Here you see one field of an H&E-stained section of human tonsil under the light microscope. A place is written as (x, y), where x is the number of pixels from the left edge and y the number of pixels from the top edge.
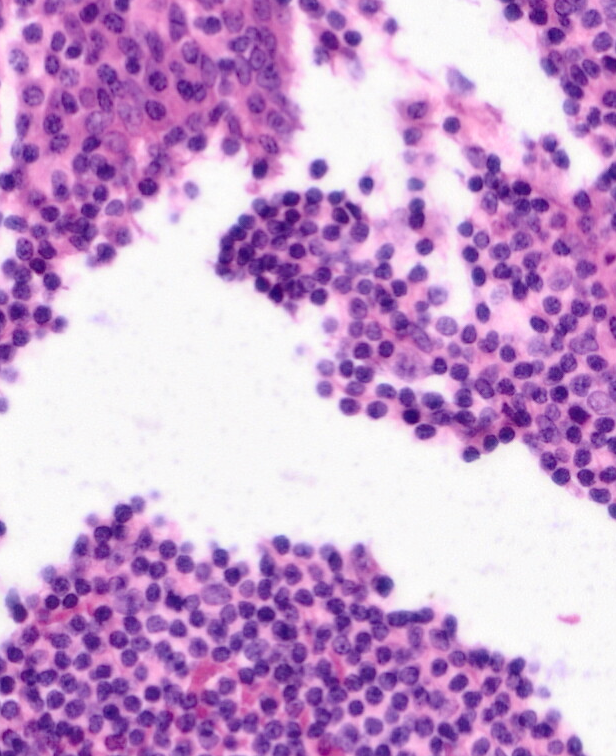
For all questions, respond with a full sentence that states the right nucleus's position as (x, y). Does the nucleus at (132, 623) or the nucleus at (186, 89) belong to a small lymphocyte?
The nucleus of the pair that lies within a small lymphocyte is at (132, 623).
